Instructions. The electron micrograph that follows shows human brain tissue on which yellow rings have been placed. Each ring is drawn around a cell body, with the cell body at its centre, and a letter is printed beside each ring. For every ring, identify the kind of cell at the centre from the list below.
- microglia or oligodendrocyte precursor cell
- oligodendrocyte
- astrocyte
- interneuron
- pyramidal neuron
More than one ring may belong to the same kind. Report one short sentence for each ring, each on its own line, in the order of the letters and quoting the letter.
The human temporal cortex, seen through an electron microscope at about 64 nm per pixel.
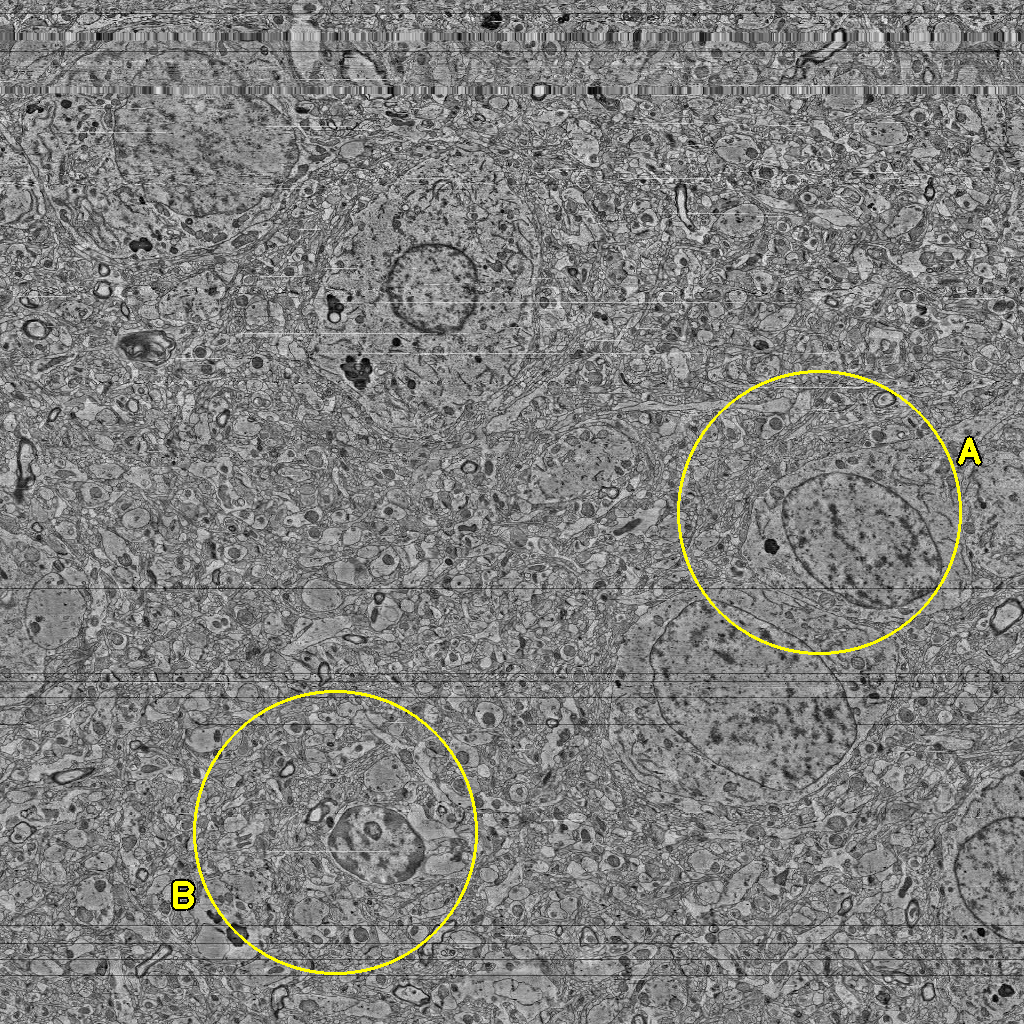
The centre of ring A is occupied by a pyramidal neuron.
The centre of ring B is occupied by a microglial cell or oligodendrocyte precursor cell.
